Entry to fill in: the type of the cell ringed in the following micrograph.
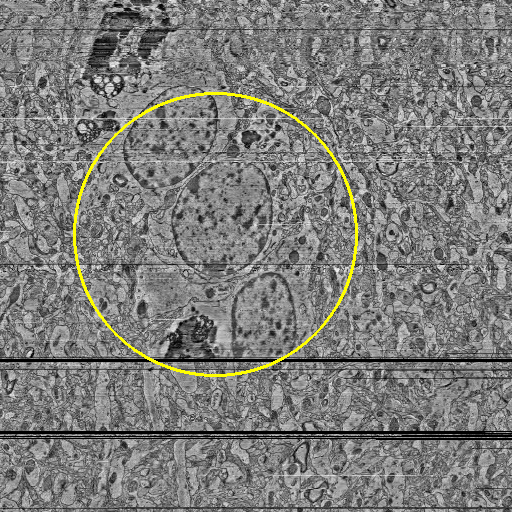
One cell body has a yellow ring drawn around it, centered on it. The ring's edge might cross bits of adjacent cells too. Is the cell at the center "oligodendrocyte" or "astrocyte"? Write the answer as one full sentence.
This entry names an astrocyte as the cell whose body lies at the ring's center.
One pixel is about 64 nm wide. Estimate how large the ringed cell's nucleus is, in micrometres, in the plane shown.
Approximately 8 by 6 micrometers in this plane.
